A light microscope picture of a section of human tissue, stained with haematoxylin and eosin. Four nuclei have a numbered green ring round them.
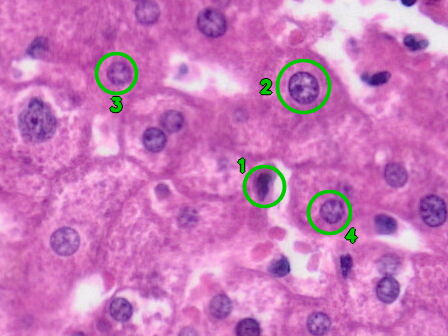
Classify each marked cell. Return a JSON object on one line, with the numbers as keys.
{"1": "Kupffer cell", "2": "hepatocyte", "3": "hepatocyte", "4": "hepatocyte"}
